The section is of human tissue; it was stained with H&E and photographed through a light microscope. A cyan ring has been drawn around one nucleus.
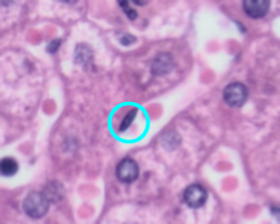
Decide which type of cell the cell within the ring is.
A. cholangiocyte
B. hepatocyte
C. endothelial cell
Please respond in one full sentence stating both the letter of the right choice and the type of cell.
Right answer, option C: the cell within the ring is an endothelial cell.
